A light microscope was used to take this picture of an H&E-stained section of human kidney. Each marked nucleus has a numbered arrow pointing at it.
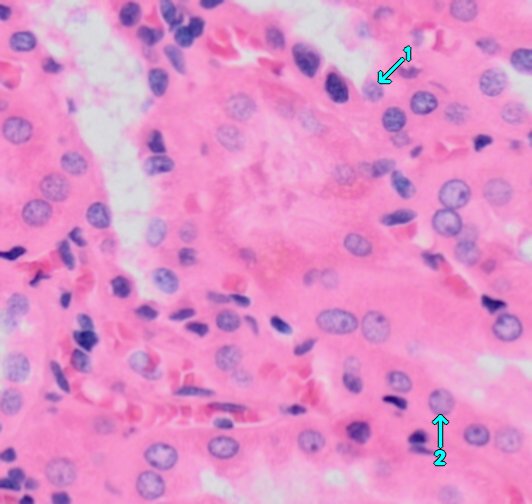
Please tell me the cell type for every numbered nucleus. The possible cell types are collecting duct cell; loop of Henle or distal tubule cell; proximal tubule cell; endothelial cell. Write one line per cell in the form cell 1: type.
cell 1: loop of Henle or distal tubule cell
cell 2: proximal tubule cell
